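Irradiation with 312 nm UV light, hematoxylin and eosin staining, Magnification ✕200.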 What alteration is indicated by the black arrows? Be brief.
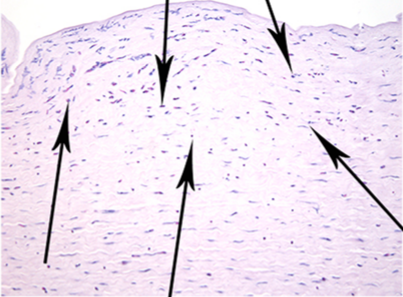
Pyknotic changes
